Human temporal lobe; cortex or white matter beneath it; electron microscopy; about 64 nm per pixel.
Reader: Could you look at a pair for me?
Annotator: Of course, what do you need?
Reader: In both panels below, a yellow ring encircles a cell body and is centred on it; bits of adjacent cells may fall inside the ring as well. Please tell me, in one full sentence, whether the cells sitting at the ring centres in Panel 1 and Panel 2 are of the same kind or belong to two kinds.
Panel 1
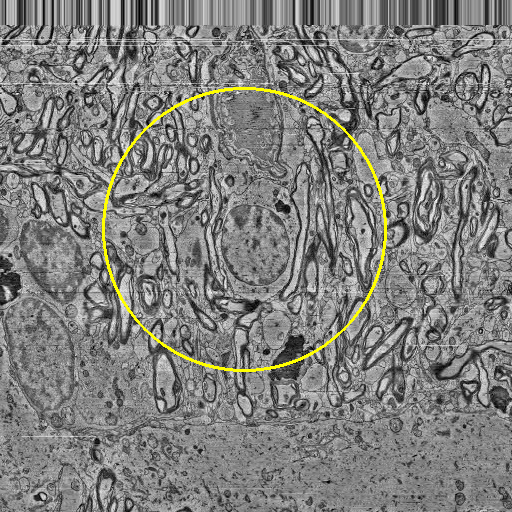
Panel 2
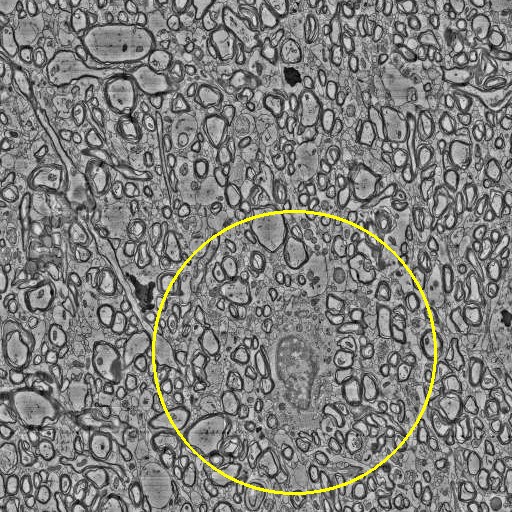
The cell at the ring's centre in Panel 1 and the one in Panel 2 belong to two kinds.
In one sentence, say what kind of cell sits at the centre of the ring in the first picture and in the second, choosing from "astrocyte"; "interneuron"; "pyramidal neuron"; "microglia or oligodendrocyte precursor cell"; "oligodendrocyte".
The first picture's ringed cell is a microglial cell or oligodendrocyte precursor cell, while the second picture's is an oligodendrocyte.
